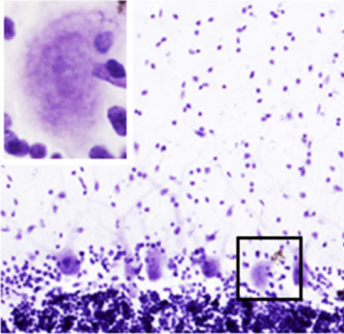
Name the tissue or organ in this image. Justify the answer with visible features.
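Cerebellar cortex. A pale, sparsely celled outer layer lies over a row of large cell bodies. A dense band of small, darkly stained cells lies beneath the row of large cells.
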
